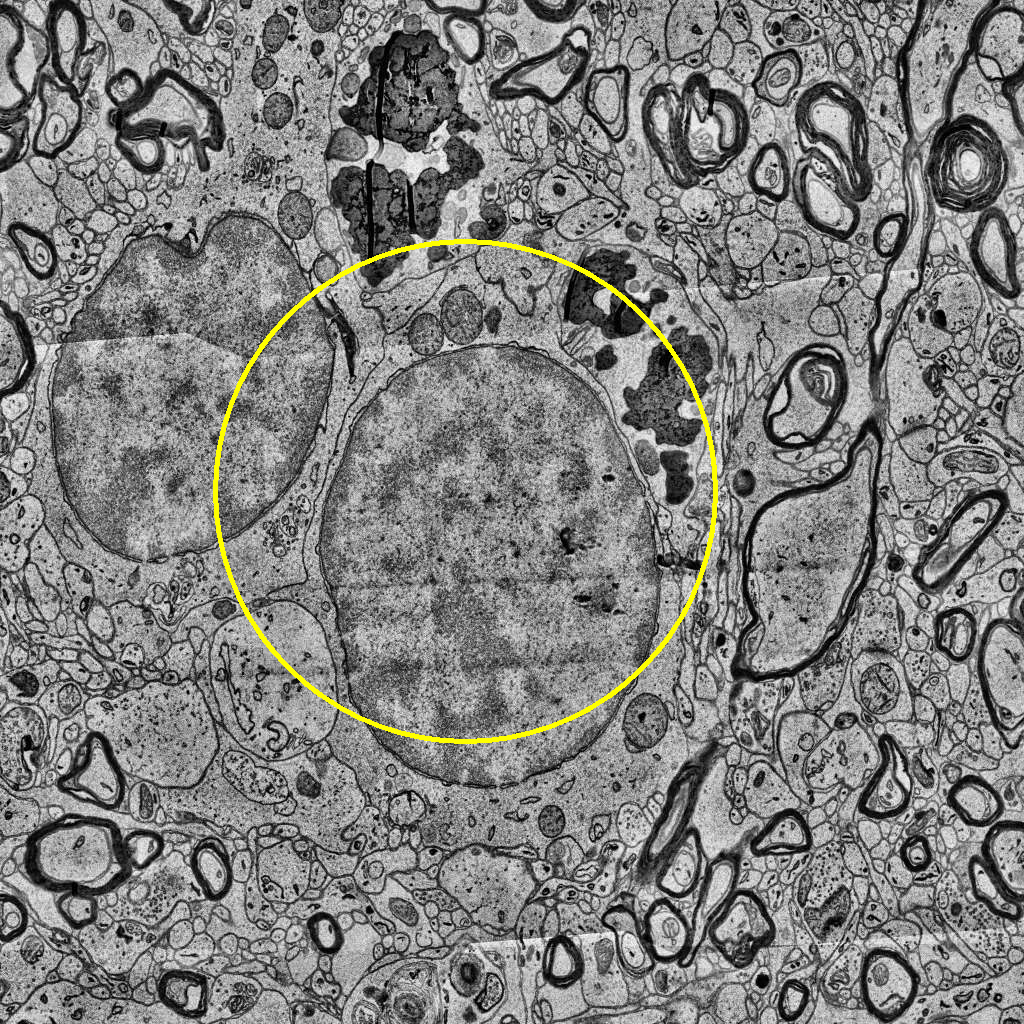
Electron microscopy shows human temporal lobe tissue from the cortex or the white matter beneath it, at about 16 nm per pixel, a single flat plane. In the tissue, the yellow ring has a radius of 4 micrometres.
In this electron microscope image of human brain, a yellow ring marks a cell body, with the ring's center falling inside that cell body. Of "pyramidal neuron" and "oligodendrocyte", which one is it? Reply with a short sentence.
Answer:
It is an oligodendrocyte at the center of the ring.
